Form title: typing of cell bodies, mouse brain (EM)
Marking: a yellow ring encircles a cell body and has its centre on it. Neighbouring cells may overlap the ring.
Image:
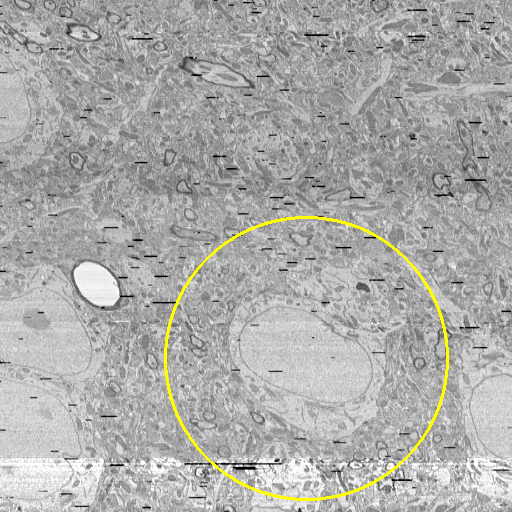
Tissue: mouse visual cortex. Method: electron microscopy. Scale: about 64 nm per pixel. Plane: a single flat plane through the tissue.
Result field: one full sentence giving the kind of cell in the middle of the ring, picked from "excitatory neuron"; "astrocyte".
In the picture, the ring is centred on an excitatory neuron, whose cell body it encircles.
